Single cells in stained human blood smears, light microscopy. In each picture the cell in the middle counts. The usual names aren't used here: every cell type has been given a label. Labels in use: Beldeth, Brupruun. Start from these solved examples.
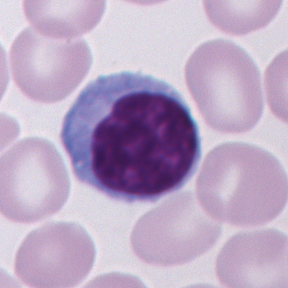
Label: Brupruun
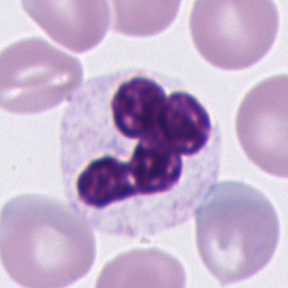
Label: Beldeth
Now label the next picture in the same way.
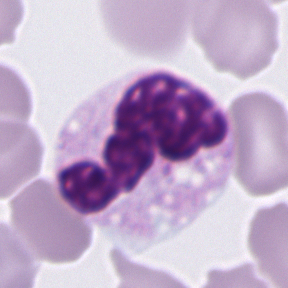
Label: Beldeth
